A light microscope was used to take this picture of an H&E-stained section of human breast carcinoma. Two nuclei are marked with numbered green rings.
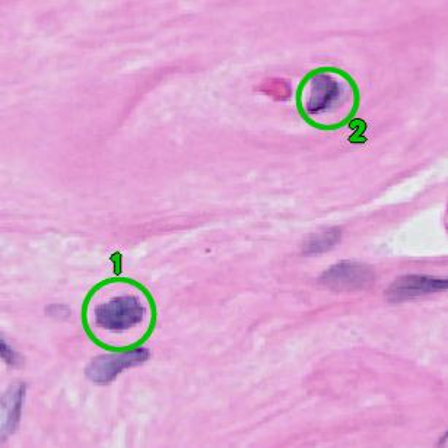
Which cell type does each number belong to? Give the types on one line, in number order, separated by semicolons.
lymphocyte; endothelial cell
